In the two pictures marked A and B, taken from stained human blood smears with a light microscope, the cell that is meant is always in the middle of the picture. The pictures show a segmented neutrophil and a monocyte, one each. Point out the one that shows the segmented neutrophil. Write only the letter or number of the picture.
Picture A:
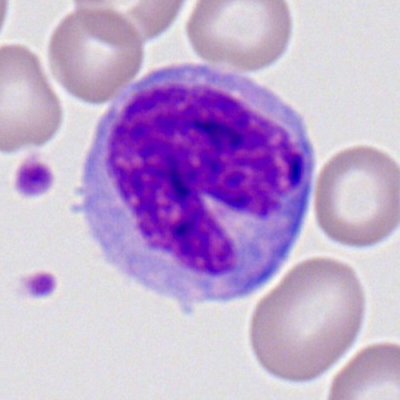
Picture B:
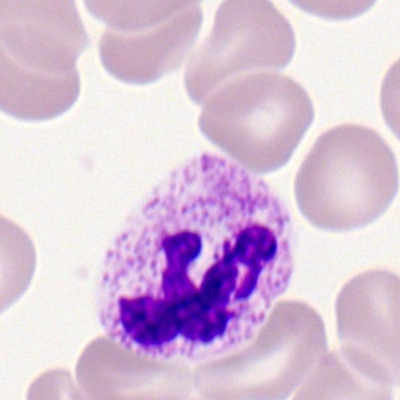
B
